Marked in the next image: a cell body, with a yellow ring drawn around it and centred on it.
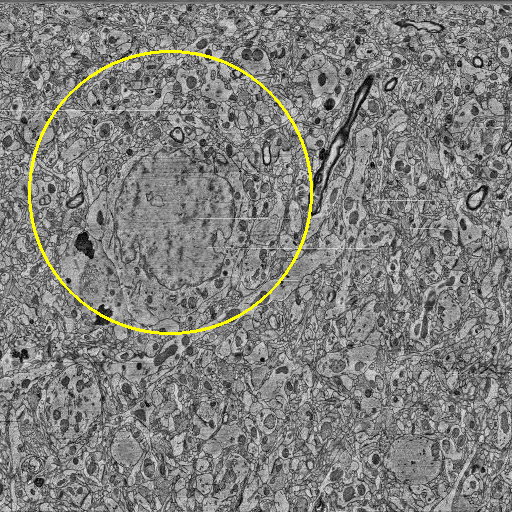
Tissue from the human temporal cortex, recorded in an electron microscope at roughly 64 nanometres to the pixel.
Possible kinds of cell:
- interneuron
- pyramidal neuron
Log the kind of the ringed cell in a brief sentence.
The ringed cell body is that of an interneuron.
